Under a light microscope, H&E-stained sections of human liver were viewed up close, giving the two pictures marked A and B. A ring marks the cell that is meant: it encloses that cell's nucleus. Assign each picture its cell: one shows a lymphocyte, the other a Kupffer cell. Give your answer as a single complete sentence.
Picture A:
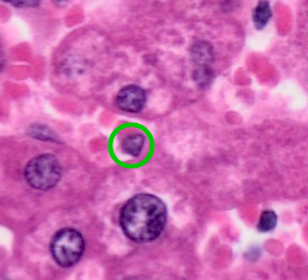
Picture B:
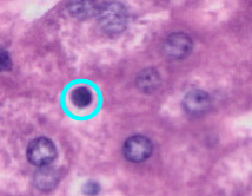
It is picture A that shows a Kupffer cell, and picture B that shows a lymphocyte.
